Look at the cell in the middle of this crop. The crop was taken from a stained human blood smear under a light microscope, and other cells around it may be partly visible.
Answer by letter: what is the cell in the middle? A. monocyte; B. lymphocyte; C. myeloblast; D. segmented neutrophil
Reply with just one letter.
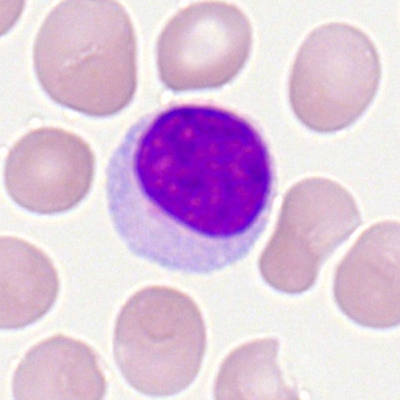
B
